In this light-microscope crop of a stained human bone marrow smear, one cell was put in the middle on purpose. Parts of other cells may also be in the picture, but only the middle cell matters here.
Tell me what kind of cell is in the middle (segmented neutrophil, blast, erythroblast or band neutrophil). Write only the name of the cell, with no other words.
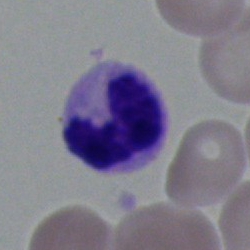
segmented neutrophil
